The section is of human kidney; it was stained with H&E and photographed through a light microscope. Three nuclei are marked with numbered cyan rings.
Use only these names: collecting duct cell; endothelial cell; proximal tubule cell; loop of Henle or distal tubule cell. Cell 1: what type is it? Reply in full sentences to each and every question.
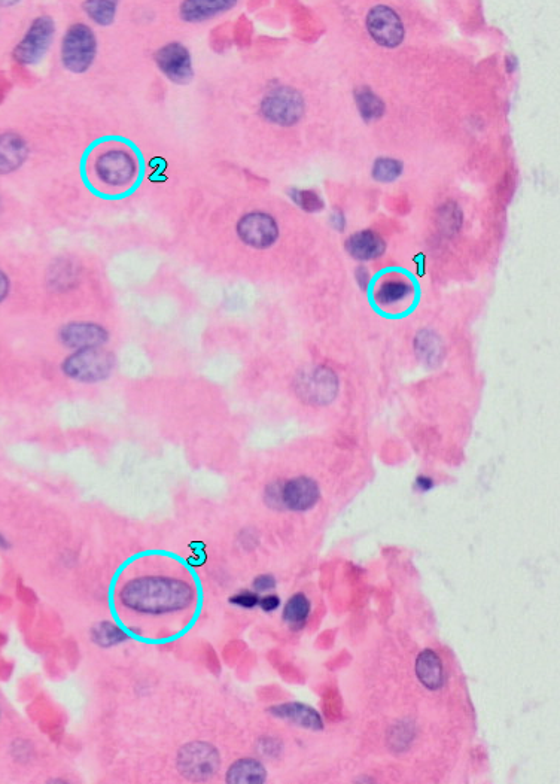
Cell 1 is classified as an endothelial cell.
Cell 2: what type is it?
The cell numbered 2 has been identified as a proximal tubule cell.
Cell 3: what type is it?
In this section, the cell tagged 3 is a proximal tubule cell.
